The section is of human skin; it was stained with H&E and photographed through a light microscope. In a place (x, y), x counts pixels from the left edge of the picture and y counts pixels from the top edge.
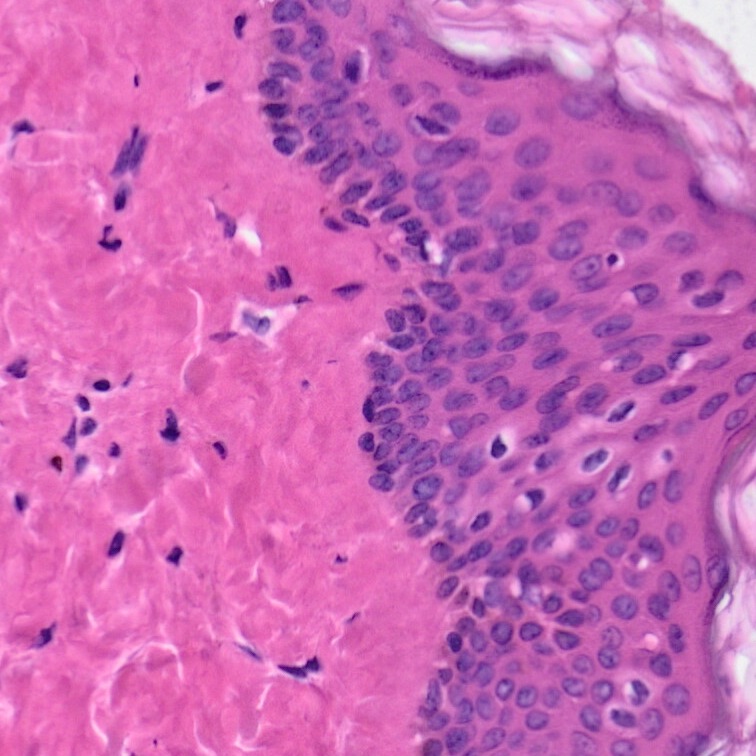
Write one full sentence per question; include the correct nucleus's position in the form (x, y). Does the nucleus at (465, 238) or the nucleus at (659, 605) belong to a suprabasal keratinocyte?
Lying within a suprabasal keratinocyte is the nucleus at (659, 605).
